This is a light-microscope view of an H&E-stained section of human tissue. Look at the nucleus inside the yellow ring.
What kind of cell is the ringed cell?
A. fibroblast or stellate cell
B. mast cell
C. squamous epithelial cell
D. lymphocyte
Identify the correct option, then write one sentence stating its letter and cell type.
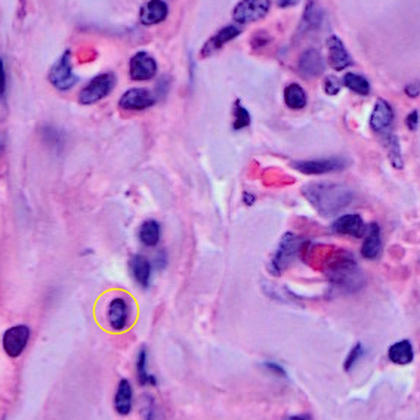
In this section the ringed cell is a mast cell; option B is therefore correct.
